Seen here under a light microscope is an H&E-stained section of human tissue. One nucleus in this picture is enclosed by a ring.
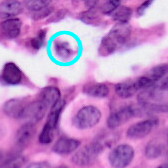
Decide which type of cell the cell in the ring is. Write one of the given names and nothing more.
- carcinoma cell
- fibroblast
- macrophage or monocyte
carcinoma cell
